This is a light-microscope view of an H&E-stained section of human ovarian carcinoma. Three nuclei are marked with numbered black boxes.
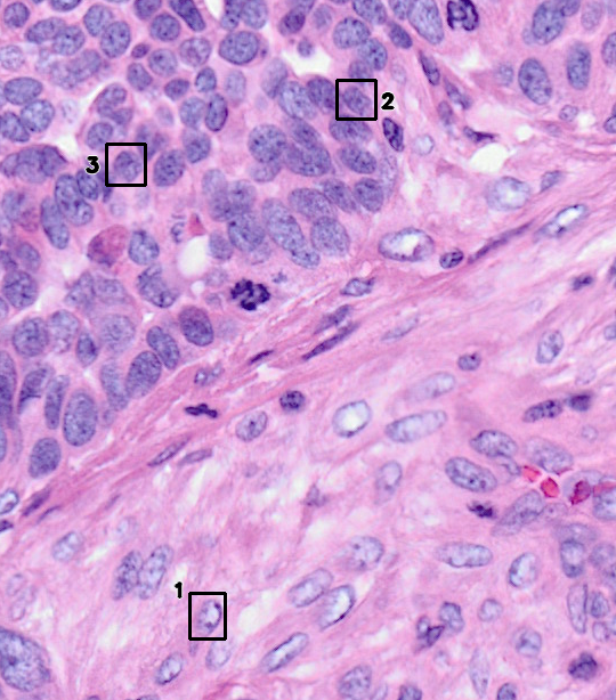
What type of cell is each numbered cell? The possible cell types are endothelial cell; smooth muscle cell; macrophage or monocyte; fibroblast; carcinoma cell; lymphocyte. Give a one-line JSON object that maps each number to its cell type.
{"1": "fibroblast", "2": "carcinoma cell", "3": "carcinoma cell"}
